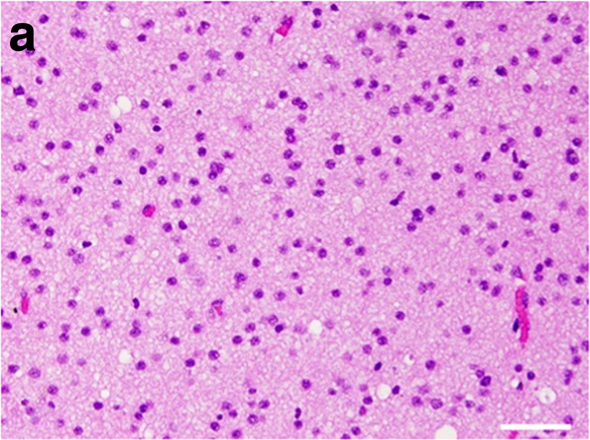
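This is a brain tumor at high power, with many tumor cells spread fairly evenly through a pale pink, finely fibrillary background. Their nuclei are small, round to slightly irregular and dark purple, with very little cytoplasm visible around them. The cells are more numerous than in normal brain tissue but do not form any particular pattern or layer. Scattered small, round, clear spaces give the background a microcystic look. A few thin vessels containing bright red blood cells run through the field, and no dividing cells stand out.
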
